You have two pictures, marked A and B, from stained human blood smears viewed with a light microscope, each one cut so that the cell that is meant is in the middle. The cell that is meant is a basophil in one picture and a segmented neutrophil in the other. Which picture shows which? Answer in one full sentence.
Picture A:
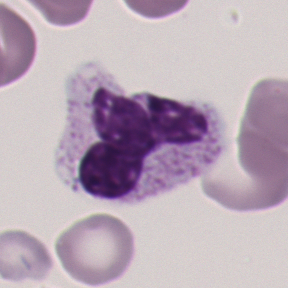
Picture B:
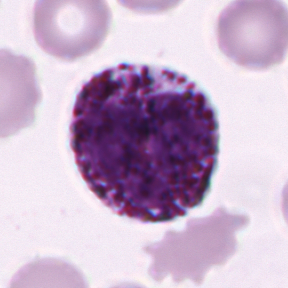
Picture B shows a basophil, while picture A shows a segmented neutrophil.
